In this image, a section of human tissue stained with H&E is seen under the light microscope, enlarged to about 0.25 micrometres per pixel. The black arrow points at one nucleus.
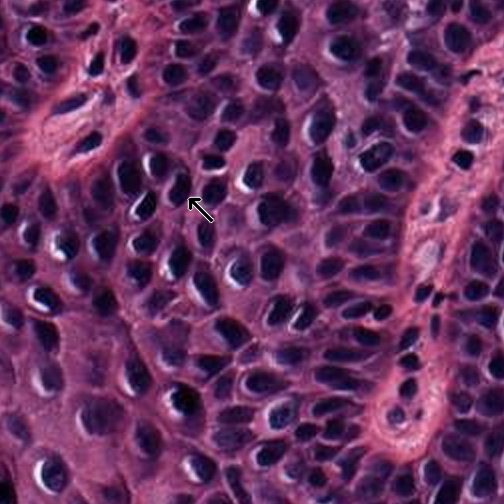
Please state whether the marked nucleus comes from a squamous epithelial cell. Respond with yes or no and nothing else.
yes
